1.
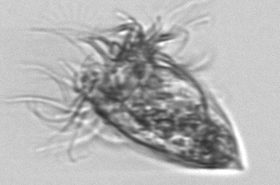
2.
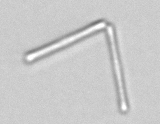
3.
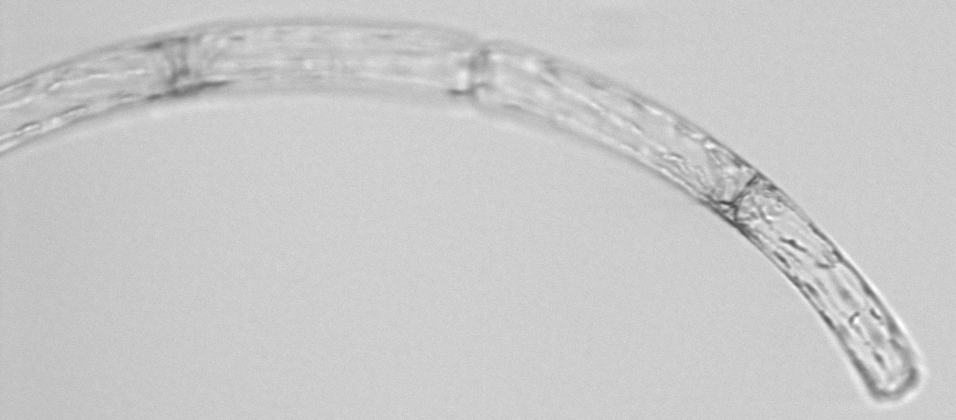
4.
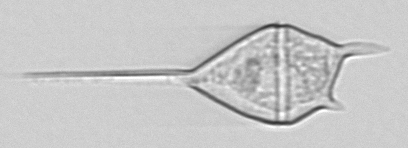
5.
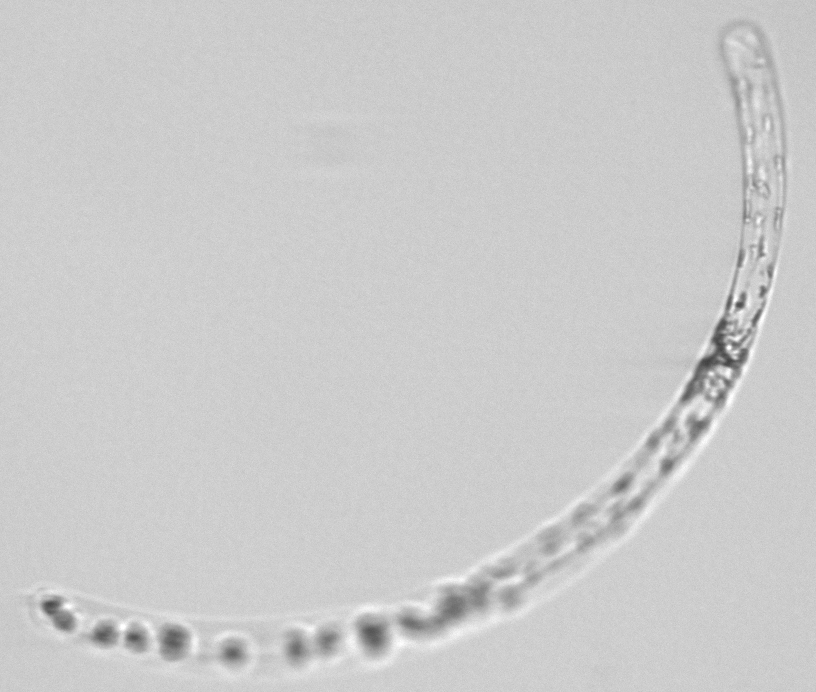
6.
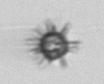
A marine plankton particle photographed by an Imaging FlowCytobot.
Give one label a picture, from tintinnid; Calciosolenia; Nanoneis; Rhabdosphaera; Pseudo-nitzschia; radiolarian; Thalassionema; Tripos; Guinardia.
1. tintinnid
2. Nanoneis
3. Guinardia
4. Tripos
5. Guinardia
6. Rhabdosphaera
